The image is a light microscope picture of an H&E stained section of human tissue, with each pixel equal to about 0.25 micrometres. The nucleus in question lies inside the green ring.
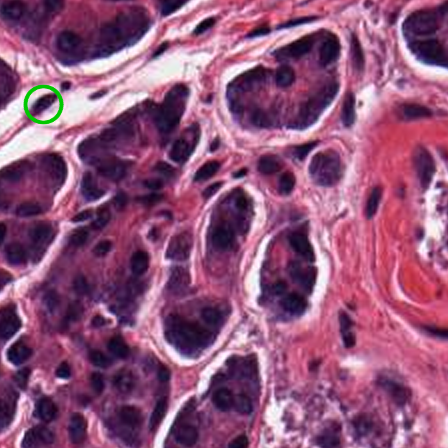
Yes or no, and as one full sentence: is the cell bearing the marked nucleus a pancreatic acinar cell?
No, a pancreatic acinar cell does not own the marked nucleus, which belongs to a supporting cell.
